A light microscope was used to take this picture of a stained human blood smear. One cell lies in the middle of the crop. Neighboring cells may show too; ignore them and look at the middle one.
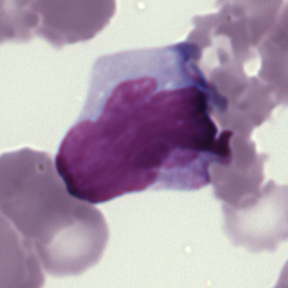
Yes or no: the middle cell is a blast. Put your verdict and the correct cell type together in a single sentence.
Yes, the cell that lies centrally is a blast.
